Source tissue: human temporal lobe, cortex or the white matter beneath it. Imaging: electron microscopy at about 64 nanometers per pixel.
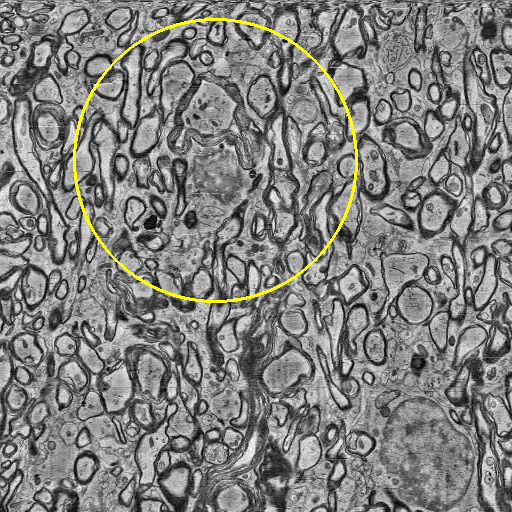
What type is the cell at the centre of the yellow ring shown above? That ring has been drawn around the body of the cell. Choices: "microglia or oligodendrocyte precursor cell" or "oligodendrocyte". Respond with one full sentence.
My answer is that an oligodendrocyte lies at the centre of the yellow ring above.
